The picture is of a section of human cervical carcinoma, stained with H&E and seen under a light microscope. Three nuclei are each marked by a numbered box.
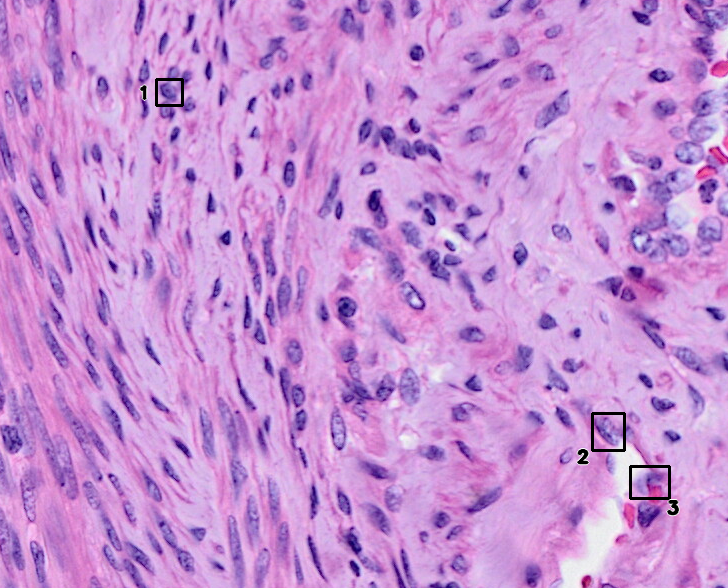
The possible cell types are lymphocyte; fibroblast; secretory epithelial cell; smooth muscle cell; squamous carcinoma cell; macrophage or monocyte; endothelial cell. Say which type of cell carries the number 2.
endothelial cell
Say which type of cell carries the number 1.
smooth muscle cell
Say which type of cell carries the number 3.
endothelial cell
